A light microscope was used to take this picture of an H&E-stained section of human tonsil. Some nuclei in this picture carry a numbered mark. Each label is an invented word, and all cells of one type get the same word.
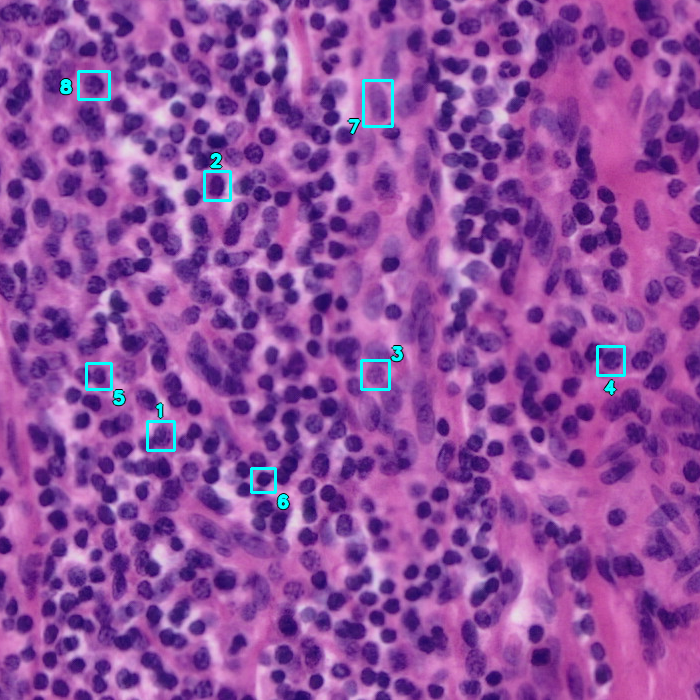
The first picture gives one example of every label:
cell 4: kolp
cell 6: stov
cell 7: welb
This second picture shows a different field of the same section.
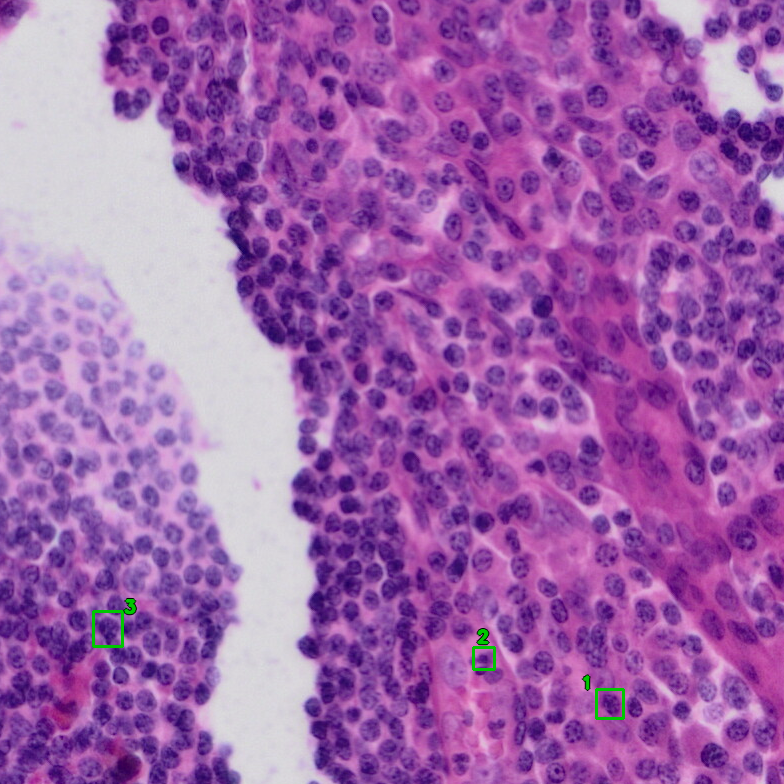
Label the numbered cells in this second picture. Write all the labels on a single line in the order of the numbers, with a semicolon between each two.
kolp; welb; stov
